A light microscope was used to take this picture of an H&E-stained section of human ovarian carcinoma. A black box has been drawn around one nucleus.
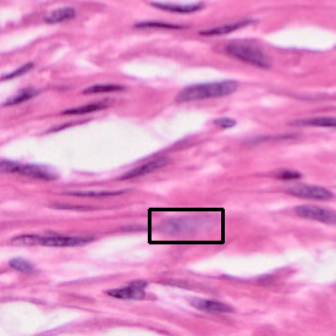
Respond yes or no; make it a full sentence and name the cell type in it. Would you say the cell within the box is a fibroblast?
Yes, the cell within the box is rightly regarded as a fibroblast.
